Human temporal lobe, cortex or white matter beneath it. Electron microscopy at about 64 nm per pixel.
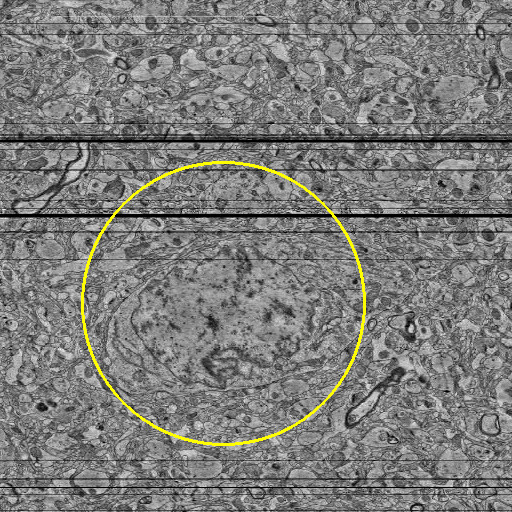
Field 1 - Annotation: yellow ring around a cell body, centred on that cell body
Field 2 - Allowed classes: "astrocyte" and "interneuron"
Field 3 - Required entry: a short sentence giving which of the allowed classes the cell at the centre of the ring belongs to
The centred cell is an interneuron.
